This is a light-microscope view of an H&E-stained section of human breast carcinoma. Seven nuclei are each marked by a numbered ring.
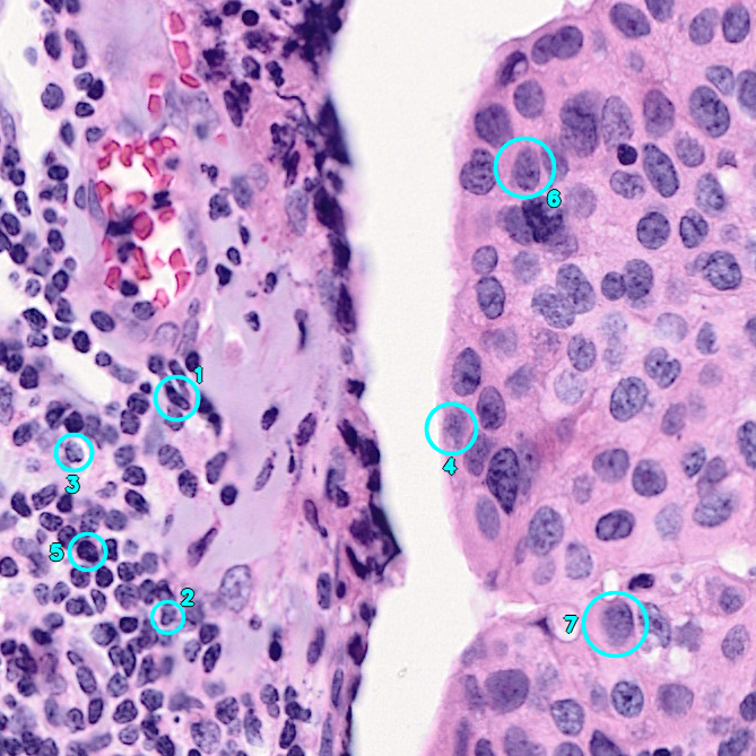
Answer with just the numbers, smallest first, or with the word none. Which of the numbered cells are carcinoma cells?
4, 6, 7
